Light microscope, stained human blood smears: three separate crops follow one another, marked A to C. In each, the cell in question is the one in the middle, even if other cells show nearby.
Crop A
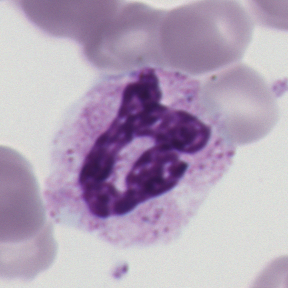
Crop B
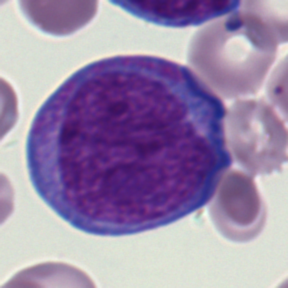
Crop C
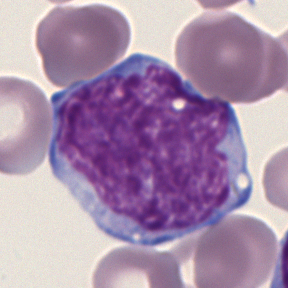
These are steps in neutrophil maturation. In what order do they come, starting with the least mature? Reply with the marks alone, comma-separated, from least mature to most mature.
C, B, A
